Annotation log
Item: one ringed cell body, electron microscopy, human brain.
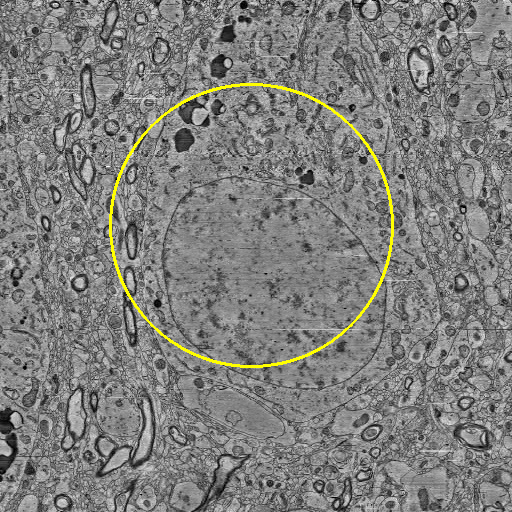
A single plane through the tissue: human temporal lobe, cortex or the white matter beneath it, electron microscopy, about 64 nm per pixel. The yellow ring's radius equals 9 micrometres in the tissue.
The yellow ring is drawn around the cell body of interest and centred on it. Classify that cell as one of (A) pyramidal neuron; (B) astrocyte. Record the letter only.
A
